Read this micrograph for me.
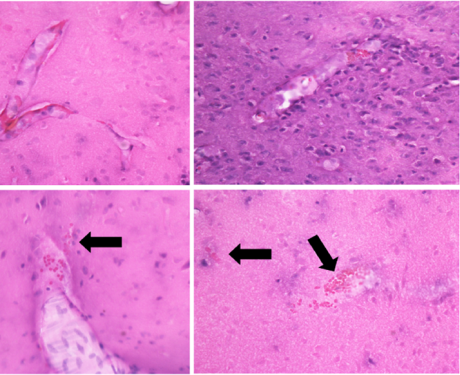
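Brain parenchyma stained pink with scattered purple nuclei of glial and neuronal cells. Each image contains a small blood vessel cut lengthwise, its lumen partly empty and pale. In the upper images, red cells line or lie within the vessel lumen. In the lower images, clusters of small round red anucleate cells sit outside the vessel wall and in the adjacent neuropil, marked by black arrows, consistent with red blood cells leaking into the tissue. One upper image shows a denser cellular layer with many closely packed nuclei around the vessel.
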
